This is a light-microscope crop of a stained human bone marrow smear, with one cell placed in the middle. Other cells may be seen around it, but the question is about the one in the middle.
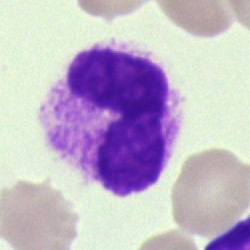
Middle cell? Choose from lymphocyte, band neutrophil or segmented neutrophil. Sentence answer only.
The cell at the central position in this crop is a band neutrophil.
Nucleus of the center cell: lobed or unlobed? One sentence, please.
The cell carries one compact nucleus shaped round, oval or like a kidney.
